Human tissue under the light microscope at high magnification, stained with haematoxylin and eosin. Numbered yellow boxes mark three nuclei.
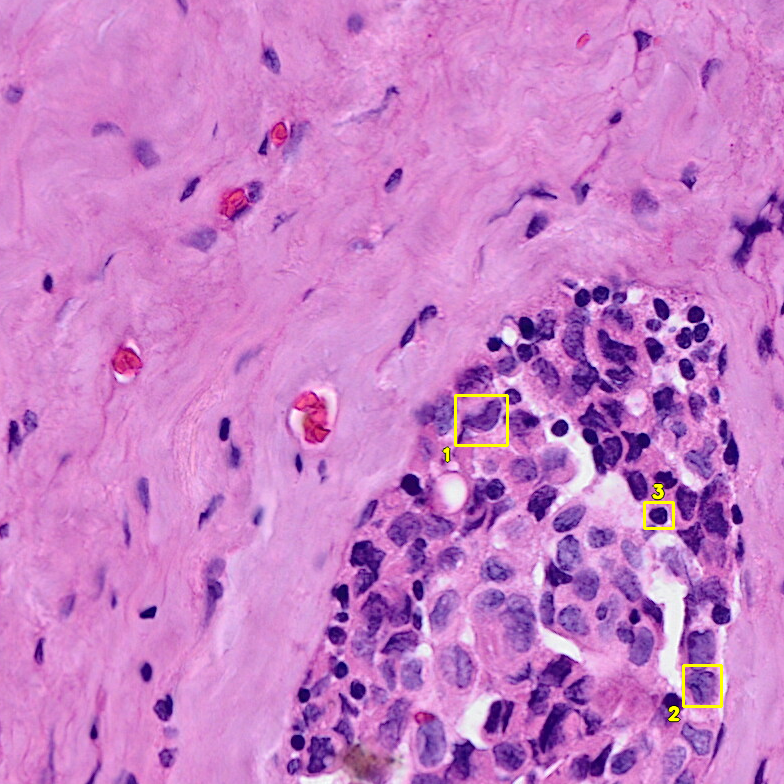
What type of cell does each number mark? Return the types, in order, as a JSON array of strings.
["carcinoma cell", "carcinoma cell", "lymphocyte"]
